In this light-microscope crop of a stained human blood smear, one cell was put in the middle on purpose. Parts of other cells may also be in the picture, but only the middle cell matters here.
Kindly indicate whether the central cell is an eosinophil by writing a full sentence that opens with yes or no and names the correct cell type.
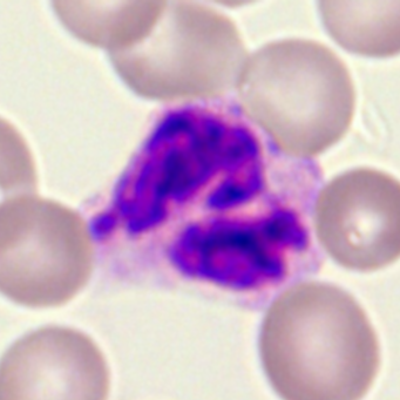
No, the cell at the centre of the crop is a basophil and not an eosinophil.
